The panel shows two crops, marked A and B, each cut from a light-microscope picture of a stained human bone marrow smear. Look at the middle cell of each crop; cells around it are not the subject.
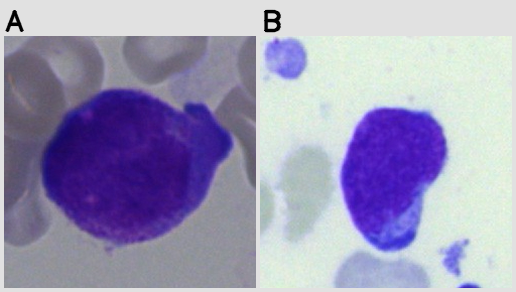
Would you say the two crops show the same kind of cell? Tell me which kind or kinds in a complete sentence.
Yes, the centre of both crops is taken up by blasts.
